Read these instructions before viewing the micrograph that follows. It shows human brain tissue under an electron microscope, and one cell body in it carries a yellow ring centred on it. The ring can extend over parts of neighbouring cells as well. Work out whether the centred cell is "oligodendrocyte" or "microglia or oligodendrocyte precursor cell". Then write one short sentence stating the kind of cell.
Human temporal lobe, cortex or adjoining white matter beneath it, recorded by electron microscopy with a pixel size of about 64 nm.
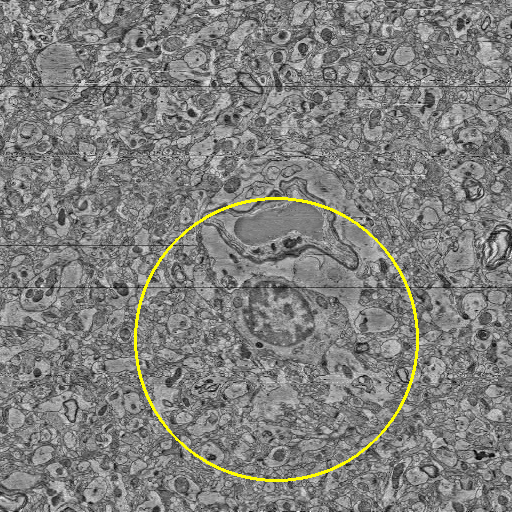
The ringed cell is an oligodendrocyte.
